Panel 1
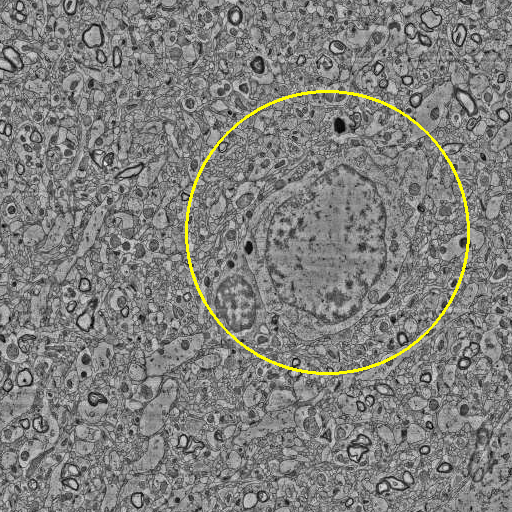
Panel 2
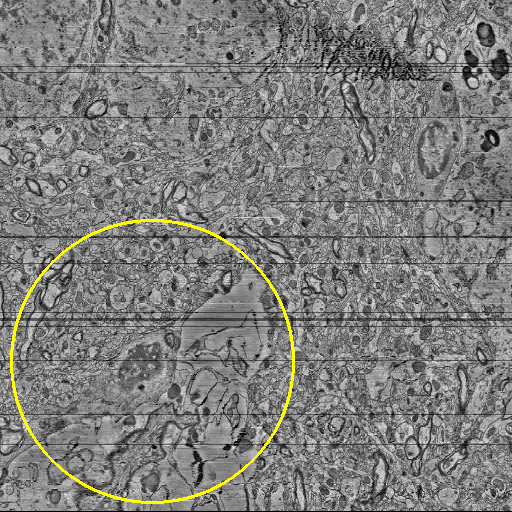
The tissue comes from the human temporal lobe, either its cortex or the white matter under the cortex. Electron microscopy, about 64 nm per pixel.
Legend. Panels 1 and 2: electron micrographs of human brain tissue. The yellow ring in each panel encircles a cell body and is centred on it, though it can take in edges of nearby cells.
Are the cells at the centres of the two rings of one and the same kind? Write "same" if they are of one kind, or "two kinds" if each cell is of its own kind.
two kinds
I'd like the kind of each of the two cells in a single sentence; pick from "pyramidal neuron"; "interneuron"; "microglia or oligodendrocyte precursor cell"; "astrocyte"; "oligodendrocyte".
The first ring marks an interneuron, and the second ring marks an oligodendrocyte.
